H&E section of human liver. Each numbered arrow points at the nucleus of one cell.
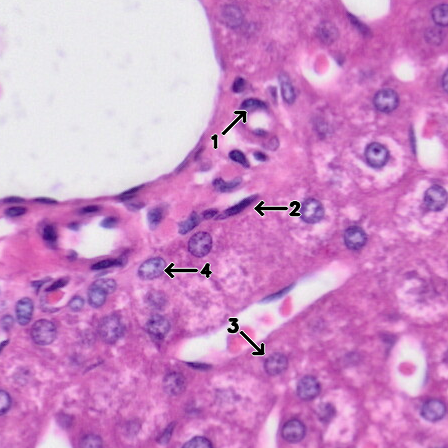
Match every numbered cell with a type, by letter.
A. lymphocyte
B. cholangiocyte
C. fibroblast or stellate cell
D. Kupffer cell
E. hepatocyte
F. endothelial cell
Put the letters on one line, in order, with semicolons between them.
C; C; E; B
